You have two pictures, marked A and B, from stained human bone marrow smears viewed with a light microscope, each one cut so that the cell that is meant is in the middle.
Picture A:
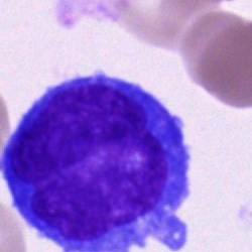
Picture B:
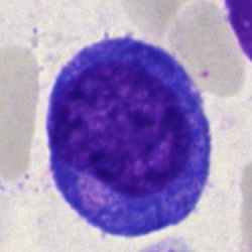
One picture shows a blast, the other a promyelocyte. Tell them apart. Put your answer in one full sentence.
In picture A the cell is a blast; in picture B, a promyelocyte.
